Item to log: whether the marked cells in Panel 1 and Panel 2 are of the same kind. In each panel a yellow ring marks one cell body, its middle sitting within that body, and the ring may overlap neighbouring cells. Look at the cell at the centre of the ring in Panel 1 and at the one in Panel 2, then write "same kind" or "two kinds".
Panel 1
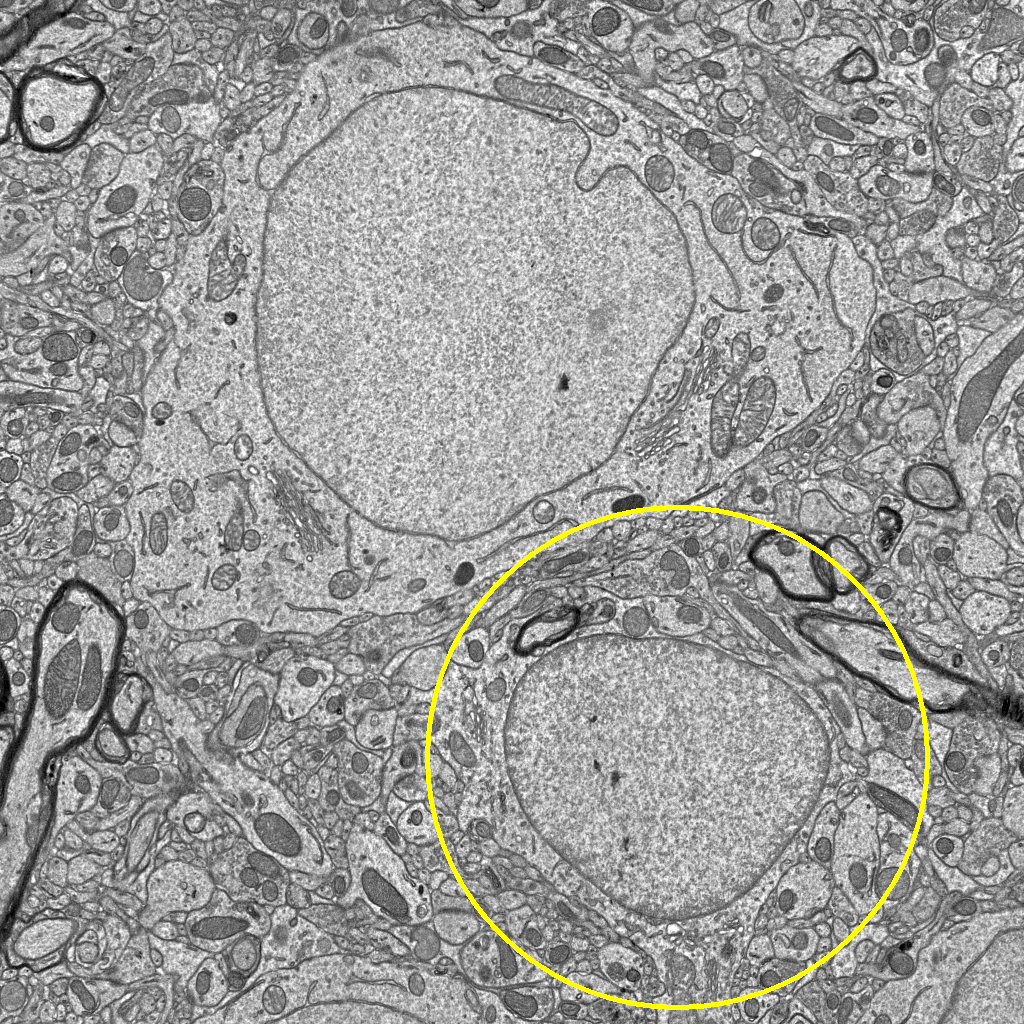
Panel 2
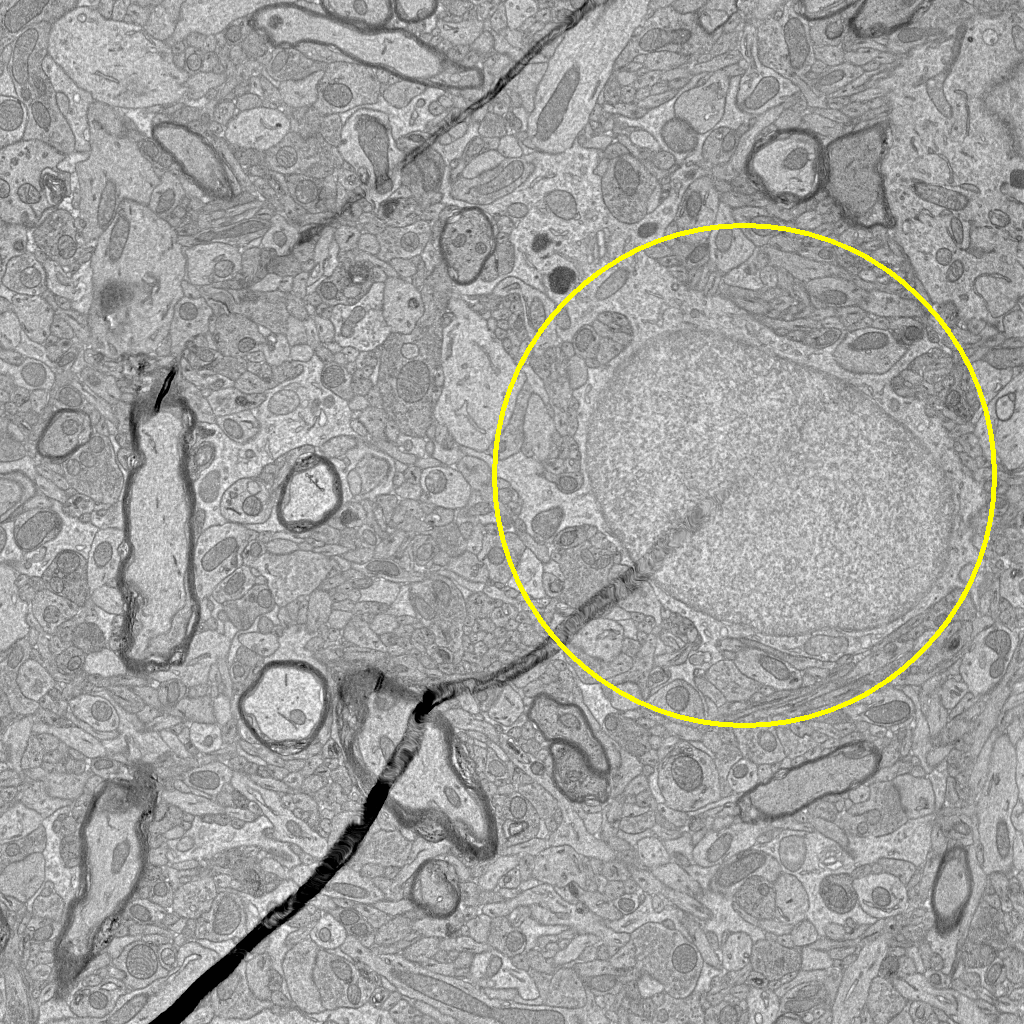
same kind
